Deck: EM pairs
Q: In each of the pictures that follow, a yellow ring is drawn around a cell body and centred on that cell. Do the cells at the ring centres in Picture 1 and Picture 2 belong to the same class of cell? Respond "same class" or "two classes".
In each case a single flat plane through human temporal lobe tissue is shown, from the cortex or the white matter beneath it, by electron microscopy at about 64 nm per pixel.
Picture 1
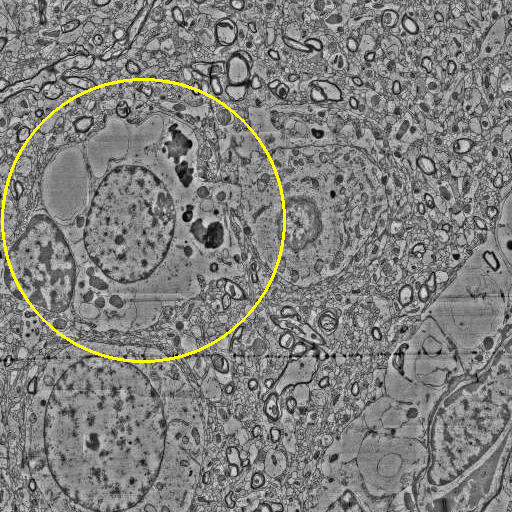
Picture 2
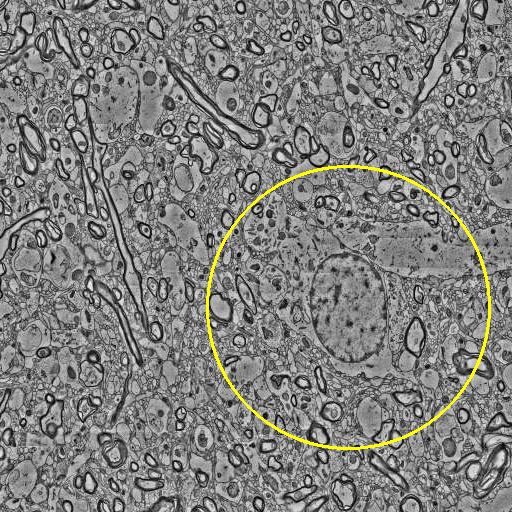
two classes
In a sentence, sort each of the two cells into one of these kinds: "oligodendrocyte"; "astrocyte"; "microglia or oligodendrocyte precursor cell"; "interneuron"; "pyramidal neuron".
The first of the two cells is an astrocyte, and the second is a microglial cell or oligodendrocyte precursor cell.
